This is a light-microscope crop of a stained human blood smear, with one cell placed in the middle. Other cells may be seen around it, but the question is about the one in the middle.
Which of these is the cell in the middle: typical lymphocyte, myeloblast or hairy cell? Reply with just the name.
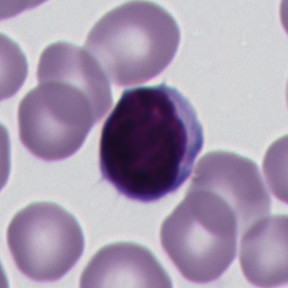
typical lymphocyte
